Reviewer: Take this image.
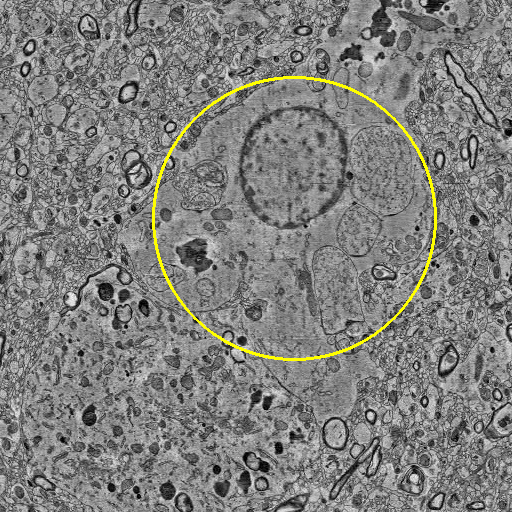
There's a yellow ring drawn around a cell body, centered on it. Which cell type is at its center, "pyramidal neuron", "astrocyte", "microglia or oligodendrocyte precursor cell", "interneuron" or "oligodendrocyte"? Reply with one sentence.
At the center of the yellow ring is an astrocyte.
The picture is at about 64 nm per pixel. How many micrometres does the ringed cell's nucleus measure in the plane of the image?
Approximately 8 x 7 micrometres in this plane.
